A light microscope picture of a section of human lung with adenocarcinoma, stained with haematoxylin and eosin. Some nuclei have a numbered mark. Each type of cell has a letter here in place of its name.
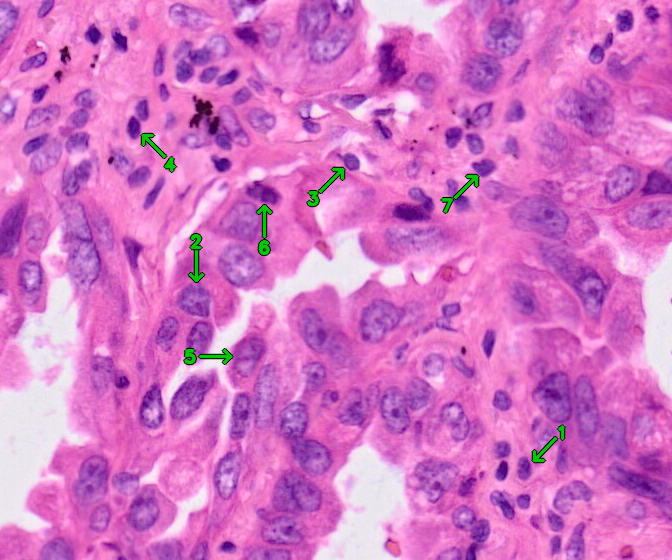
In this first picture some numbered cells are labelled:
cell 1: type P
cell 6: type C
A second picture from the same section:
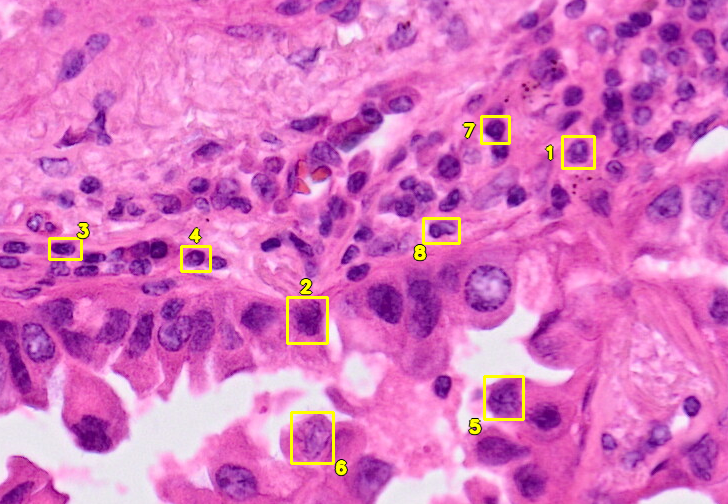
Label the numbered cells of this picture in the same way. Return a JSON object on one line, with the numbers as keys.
{"1": "type P", "2": "type C", "3": "type P", "4": "type P", "5": "type C", "6": "type C", "7": "type P", "8": "type P"}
